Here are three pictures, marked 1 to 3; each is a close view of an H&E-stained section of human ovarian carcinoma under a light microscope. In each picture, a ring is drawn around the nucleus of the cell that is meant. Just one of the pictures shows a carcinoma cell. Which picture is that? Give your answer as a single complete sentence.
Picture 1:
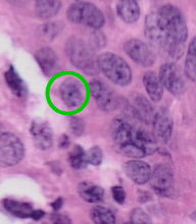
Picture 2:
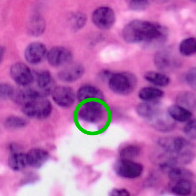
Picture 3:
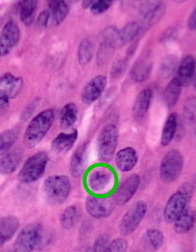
It is picture 2 that shows the carcinoma cell.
